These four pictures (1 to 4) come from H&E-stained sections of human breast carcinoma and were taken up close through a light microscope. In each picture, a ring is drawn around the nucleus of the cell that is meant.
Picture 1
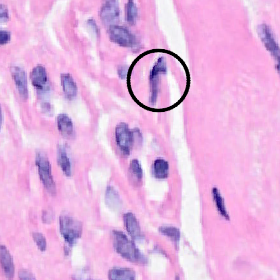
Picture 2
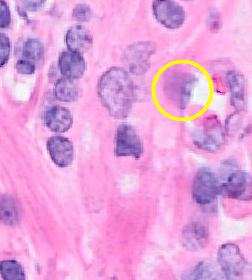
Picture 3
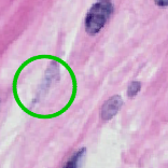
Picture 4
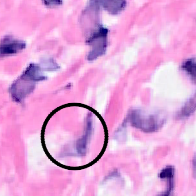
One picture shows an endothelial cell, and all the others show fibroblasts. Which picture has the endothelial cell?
2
